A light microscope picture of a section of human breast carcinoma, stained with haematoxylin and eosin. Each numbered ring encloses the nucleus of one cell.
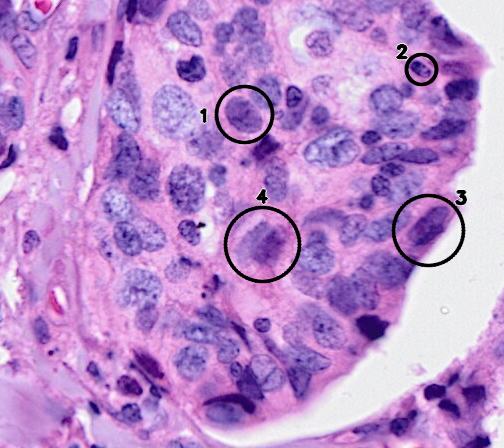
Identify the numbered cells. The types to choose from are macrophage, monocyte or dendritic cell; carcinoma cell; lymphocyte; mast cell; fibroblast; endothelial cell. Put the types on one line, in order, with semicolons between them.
carcinoma cell; lymphocyte; carcinoma cell; carcinoma cell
